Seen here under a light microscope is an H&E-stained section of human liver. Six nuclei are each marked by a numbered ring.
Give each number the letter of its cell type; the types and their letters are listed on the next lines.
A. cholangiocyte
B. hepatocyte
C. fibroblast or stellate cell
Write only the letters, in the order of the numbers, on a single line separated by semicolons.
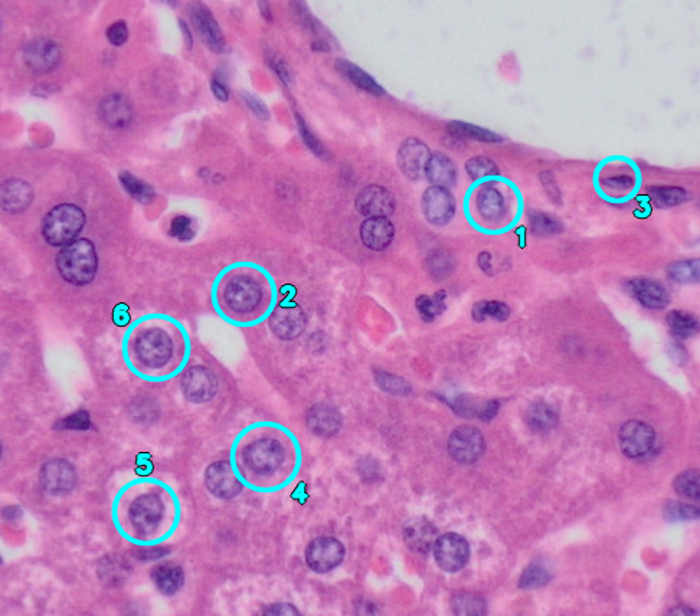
A; B; C; B; B; B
